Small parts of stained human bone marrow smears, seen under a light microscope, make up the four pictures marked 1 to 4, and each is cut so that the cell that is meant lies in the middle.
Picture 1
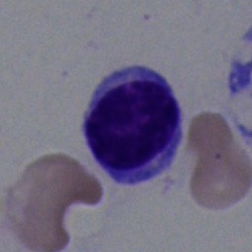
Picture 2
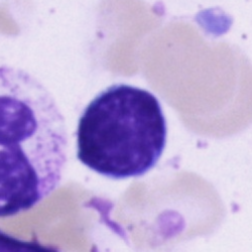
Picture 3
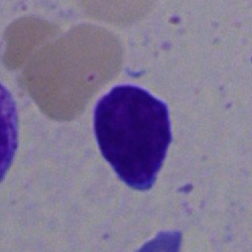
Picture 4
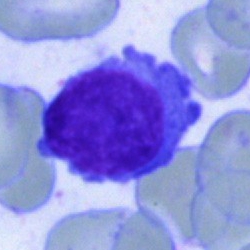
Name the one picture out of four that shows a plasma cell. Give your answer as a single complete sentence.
The plasma cell is the one in picture 4.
